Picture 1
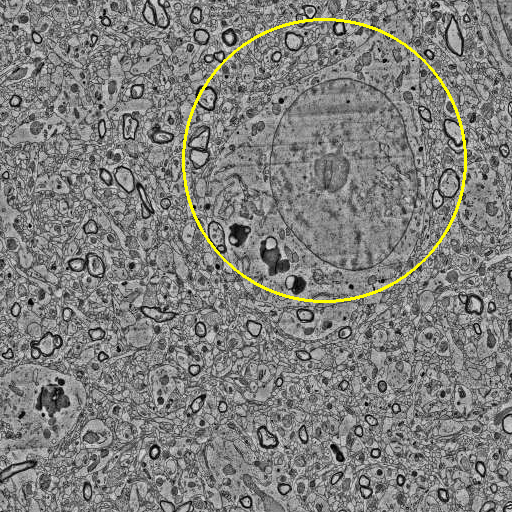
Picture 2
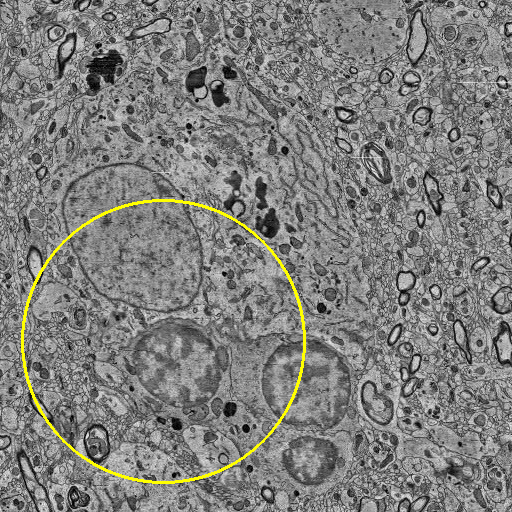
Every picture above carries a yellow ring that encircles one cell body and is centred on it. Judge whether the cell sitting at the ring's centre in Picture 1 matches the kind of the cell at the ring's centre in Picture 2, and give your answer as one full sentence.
No, the cells centred in the rings of Pictures 1 and 2 belong to two kinds.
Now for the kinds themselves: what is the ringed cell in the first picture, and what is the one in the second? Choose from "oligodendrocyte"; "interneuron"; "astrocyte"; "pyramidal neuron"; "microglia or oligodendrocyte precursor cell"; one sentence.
Here the first cell is a pyramidal neuron and the second cell is an oligodendrocyte.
